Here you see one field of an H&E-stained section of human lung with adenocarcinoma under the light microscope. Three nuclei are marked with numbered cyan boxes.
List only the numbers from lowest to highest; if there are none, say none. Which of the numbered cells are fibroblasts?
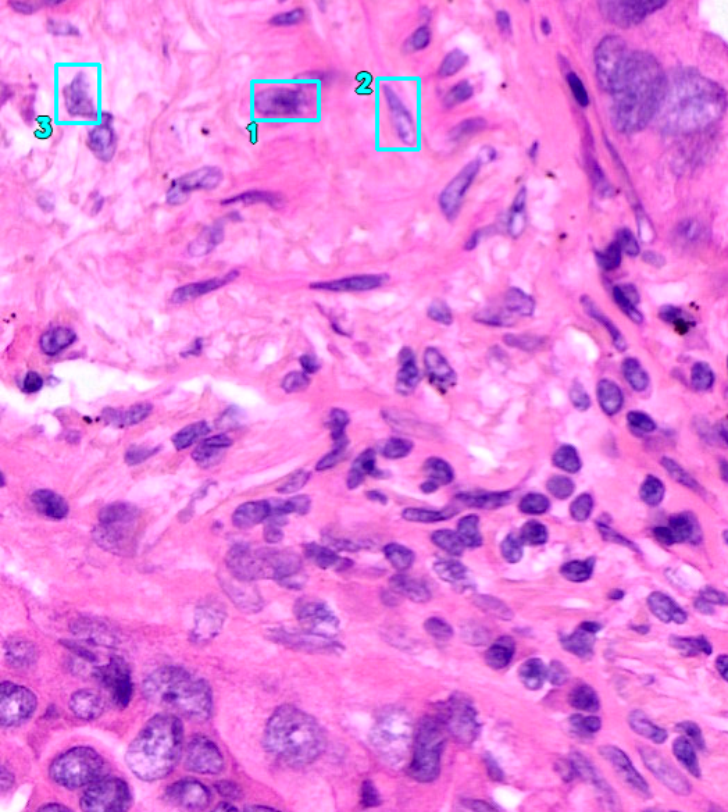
3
